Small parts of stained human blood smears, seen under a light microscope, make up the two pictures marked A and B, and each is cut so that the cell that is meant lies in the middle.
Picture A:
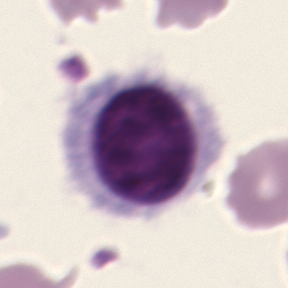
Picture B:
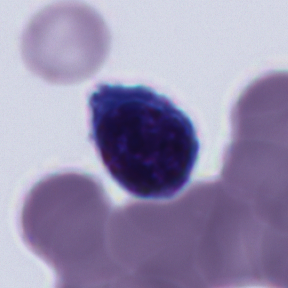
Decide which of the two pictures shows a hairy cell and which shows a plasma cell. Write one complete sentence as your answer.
Picture A shows a hairy cell and picture B shows a plasma cell.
